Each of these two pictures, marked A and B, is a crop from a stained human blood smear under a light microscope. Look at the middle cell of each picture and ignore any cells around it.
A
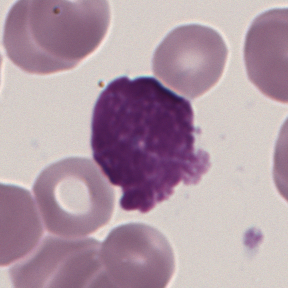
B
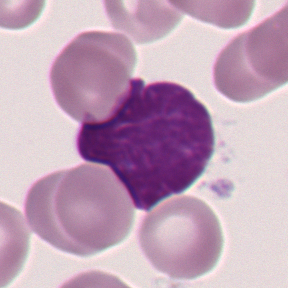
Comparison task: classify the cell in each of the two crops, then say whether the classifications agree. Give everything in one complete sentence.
Yes, smudge cells are depicted in both crops.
